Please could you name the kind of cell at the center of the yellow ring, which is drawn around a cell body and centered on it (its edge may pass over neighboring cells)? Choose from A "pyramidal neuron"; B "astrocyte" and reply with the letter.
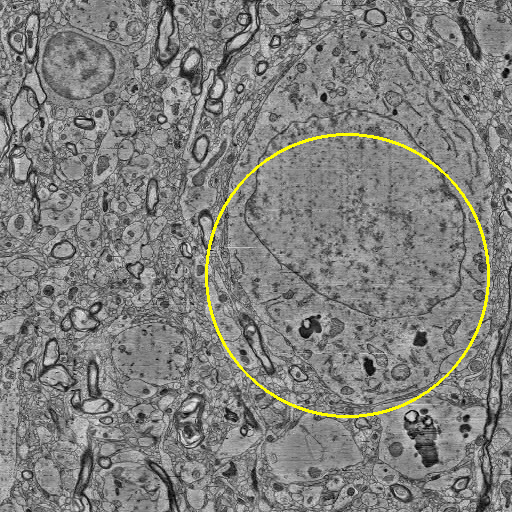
A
